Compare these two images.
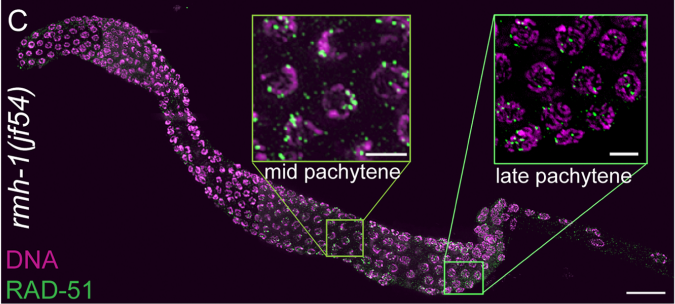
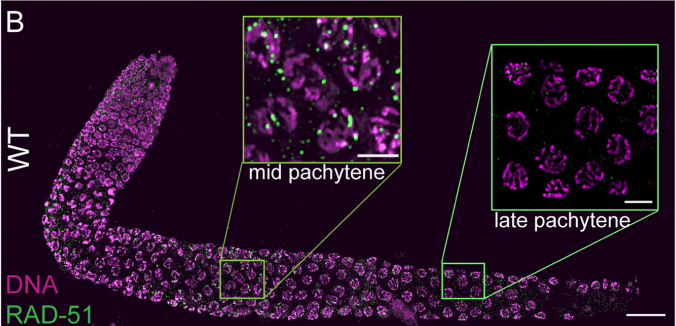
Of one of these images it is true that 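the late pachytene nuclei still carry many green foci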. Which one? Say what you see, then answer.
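First image: the late pachytene inset shows several green dots on most nuclei. Second image: the late pachytene inset shows magenta nuclei with hardly any green dots. On this evidence: the first image.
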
